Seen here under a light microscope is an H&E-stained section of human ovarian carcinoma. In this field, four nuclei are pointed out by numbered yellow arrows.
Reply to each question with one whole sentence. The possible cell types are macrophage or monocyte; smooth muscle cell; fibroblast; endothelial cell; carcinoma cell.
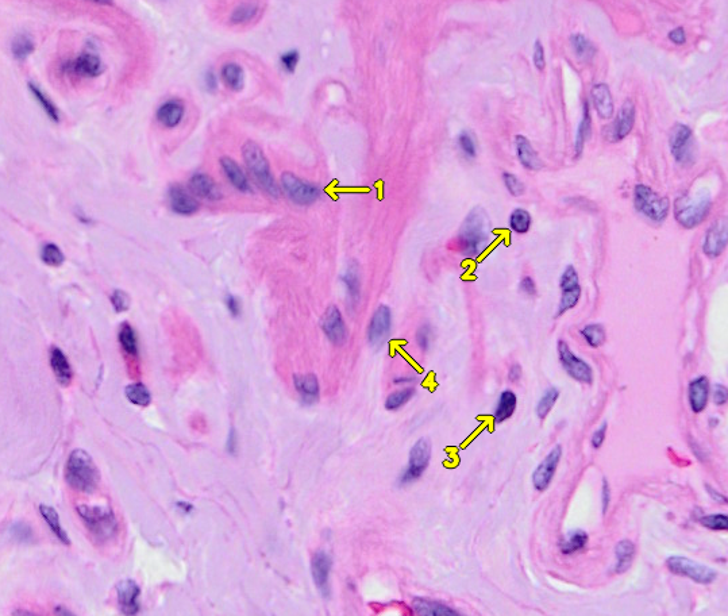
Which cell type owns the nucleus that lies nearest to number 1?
The nucleus nearest to number 1 is that of a smooth muscle cell.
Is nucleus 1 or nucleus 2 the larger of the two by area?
At about 2 times the area of nucleus 2, nucleus 1 is the larger of the two.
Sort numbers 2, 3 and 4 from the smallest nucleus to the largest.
The order from the smallest nucleus to the largest is 2, 3, 4.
